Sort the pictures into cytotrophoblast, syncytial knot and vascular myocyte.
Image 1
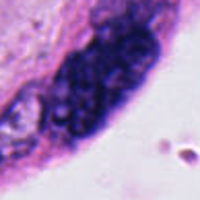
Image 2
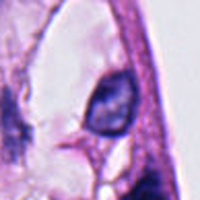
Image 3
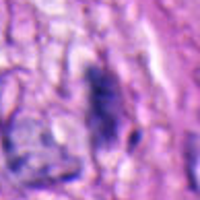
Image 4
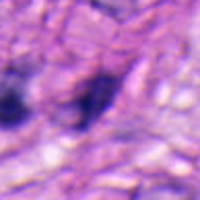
Syncytial knots: 1
Cytotrophoblasts: 2
Vascular myocytes: 3, 4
